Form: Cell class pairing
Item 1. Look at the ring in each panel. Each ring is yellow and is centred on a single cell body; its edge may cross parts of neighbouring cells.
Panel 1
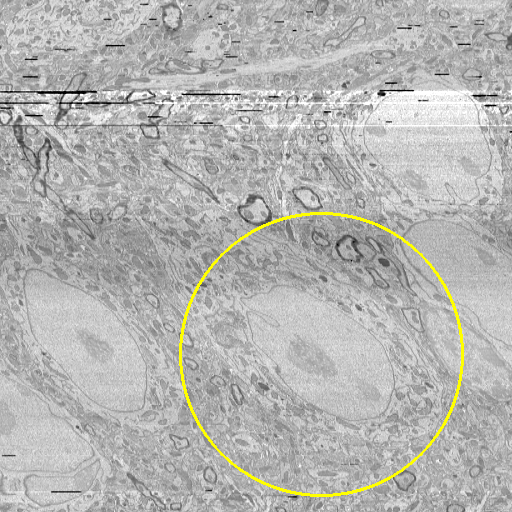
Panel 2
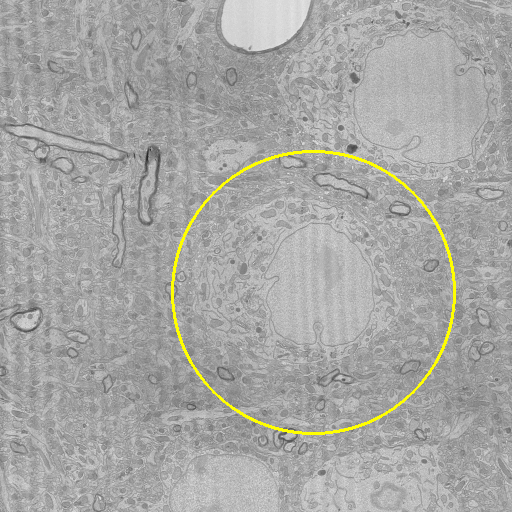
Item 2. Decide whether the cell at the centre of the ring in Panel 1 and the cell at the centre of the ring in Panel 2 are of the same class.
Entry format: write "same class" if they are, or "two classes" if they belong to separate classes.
same class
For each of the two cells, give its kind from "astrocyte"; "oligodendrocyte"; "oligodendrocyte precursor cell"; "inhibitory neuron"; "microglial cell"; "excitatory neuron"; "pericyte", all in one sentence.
The cell in the first picture is an inhibitory neuron, and so is the one in the second.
